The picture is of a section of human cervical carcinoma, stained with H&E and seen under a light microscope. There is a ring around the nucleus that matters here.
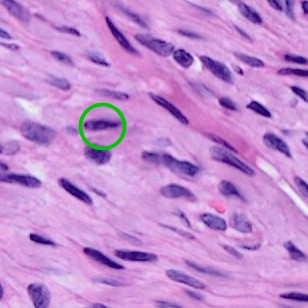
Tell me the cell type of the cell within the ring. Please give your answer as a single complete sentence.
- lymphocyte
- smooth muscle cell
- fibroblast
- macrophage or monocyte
In the tissue at hand, the cell within the ring is a fibroblast.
